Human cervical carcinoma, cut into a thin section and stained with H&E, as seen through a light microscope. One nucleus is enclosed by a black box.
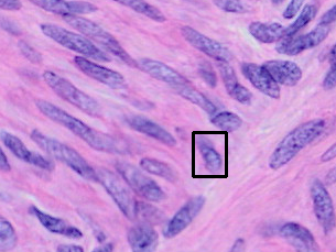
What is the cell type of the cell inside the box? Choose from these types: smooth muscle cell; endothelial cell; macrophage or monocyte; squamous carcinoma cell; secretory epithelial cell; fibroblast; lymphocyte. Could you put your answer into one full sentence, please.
Within this tissue, the cell inside the box is a smooth muscle cell.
